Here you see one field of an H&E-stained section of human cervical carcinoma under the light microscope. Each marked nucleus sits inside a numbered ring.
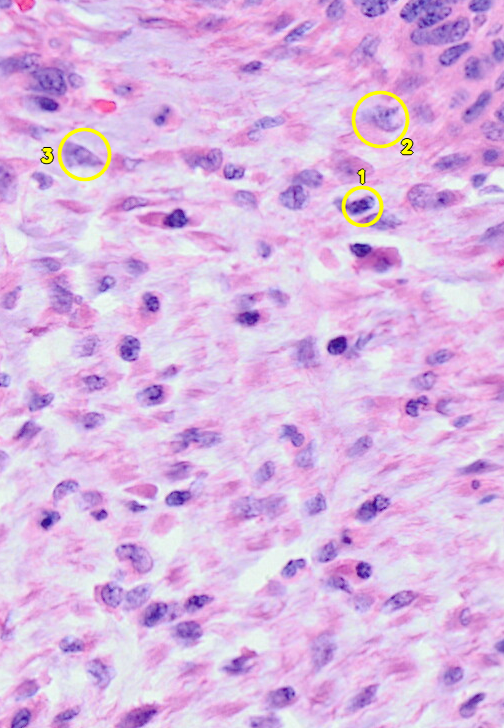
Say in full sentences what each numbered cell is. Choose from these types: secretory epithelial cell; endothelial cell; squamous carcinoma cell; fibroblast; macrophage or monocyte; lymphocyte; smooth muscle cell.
Cell 1 is a lymphocyte. Cells 2 and 3 are fibroblasts.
